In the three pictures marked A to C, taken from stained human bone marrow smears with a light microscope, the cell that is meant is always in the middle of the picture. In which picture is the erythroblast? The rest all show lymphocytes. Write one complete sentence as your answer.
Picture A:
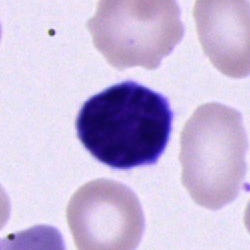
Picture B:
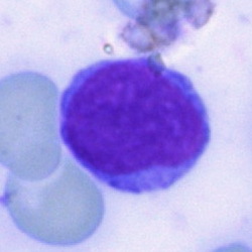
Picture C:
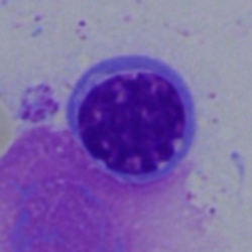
Picture C is the one that shows the erythroblast.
